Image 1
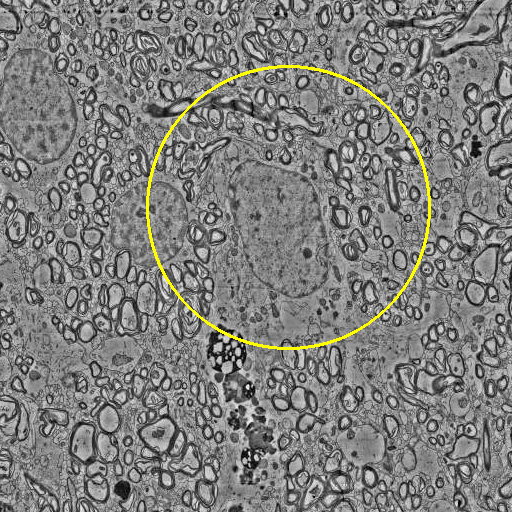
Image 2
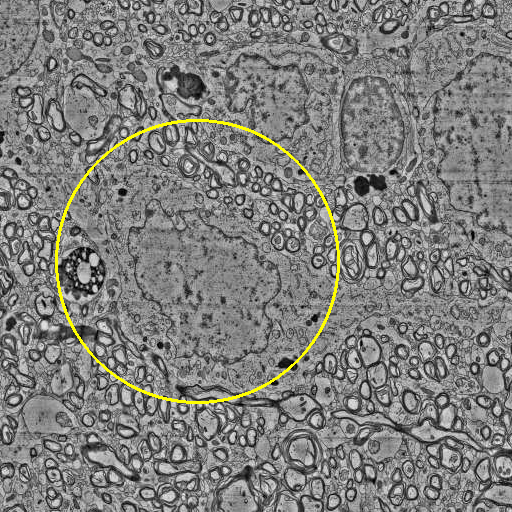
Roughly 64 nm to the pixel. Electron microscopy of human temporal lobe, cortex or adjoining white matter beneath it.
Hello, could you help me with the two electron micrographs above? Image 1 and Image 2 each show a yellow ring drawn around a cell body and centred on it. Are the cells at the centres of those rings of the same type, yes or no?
no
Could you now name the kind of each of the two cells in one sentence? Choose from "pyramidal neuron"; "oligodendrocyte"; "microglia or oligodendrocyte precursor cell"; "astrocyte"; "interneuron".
The first ring encloses an astrocyte; the second ring encloses a pyramidal neuron.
